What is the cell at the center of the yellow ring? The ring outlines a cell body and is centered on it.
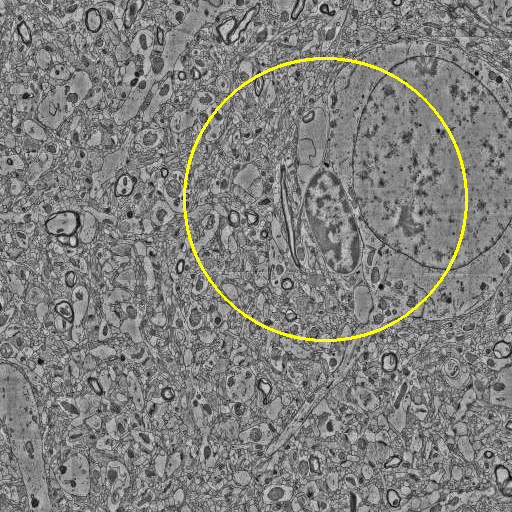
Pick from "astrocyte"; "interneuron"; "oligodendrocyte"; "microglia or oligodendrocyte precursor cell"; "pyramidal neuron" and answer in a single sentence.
The yellow ring is centered on a microglial cell or oligodendrocyte precursor cell.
